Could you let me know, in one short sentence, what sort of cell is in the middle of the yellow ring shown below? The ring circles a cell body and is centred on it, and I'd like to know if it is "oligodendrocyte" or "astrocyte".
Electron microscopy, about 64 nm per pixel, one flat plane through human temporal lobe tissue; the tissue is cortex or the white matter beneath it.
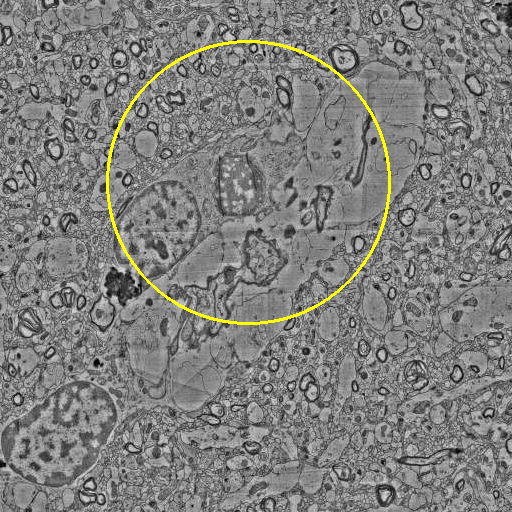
The ring circles the cell body of an oligodendrocyte.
